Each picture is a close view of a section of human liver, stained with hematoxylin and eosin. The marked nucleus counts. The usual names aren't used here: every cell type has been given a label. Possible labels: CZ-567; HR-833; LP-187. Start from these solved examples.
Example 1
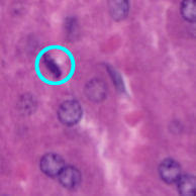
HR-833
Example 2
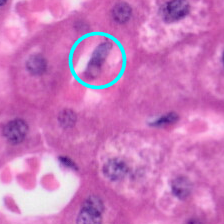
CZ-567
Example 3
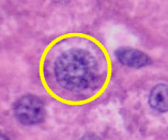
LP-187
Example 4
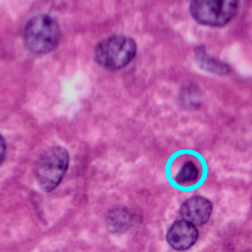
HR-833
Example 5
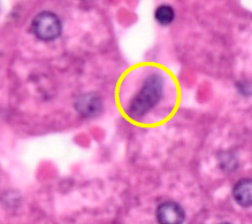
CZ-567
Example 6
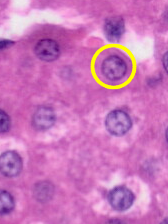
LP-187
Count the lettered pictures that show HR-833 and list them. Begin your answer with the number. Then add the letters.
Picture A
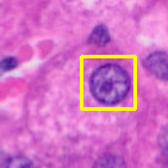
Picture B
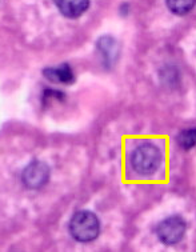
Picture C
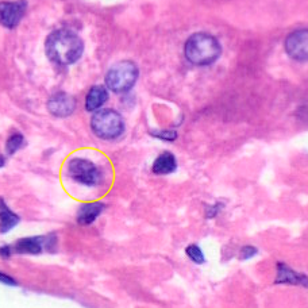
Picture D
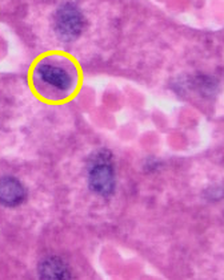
2, namely C, D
